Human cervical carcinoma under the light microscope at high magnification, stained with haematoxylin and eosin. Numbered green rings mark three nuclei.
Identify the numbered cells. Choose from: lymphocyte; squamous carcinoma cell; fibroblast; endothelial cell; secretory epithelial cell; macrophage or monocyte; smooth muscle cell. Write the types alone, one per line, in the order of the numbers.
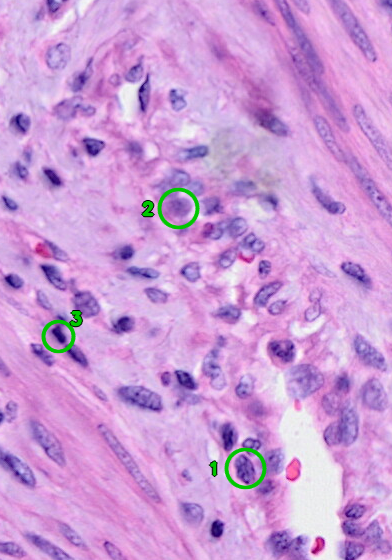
lymphocyte
endothelial cell
lymphocyte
